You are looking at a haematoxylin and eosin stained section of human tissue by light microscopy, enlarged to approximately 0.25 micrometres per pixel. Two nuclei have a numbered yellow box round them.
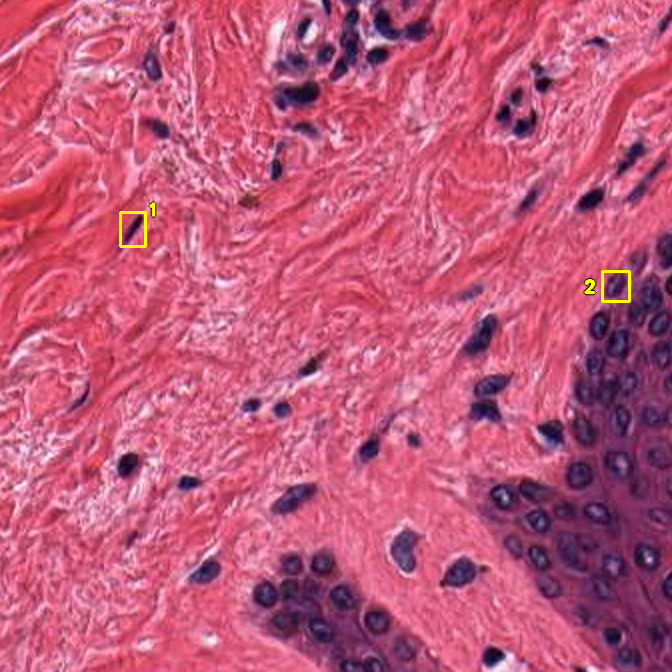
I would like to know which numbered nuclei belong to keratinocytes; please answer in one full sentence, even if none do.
While several nuclei carry numbers, just nucleus 2 belongs to a keratinocyte.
